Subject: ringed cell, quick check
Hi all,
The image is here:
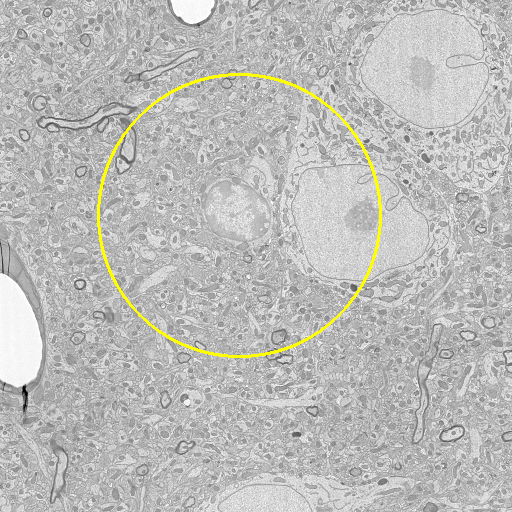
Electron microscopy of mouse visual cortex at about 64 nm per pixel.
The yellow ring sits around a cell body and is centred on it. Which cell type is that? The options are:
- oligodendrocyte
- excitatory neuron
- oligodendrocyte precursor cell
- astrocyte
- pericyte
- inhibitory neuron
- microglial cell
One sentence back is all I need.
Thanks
That ringed cell is an oligodendrocyte.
